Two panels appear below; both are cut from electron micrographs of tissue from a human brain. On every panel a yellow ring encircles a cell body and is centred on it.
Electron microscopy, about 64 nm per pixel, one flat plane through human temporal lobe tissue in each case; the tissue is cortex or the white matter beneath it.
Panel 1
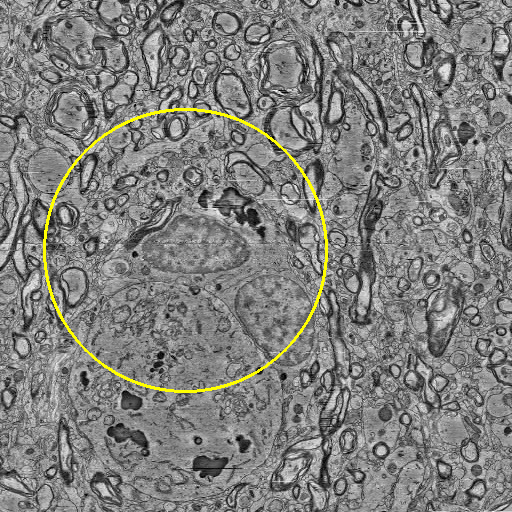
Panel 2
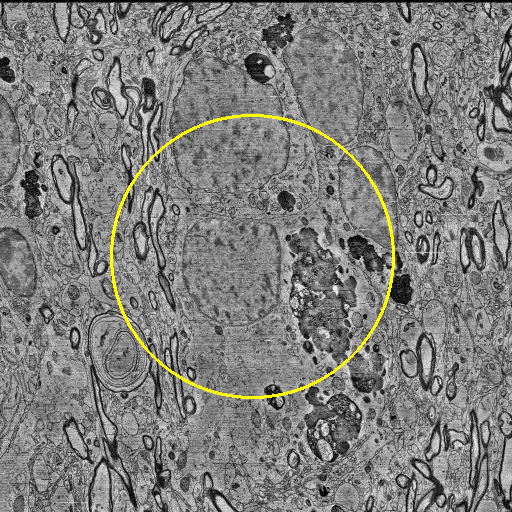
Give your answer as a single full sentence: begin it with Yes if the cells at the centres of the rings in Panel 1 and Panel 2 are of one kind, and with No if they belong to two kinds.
No, the cells in the middle of the rings in Panels 1 and 2 are of two kinds.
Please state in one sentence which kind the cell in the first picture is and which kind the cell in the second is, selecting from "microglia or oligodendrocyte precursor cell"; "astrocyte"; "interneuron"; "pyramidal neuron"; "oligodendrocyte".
The first ringed cell is an oligodendrocyte, the second ringed cell an astrocyte.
